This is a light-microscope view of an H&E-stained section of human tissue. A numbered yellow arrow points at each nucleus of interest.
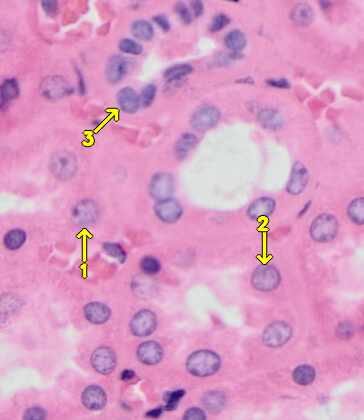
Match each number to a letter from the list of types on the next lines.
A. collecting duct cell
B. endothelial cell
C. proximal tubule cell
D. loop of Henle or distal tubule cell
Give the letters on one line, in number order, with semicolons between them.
C; C; A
